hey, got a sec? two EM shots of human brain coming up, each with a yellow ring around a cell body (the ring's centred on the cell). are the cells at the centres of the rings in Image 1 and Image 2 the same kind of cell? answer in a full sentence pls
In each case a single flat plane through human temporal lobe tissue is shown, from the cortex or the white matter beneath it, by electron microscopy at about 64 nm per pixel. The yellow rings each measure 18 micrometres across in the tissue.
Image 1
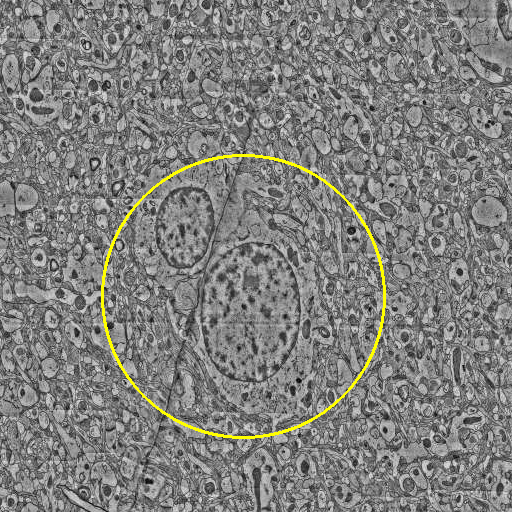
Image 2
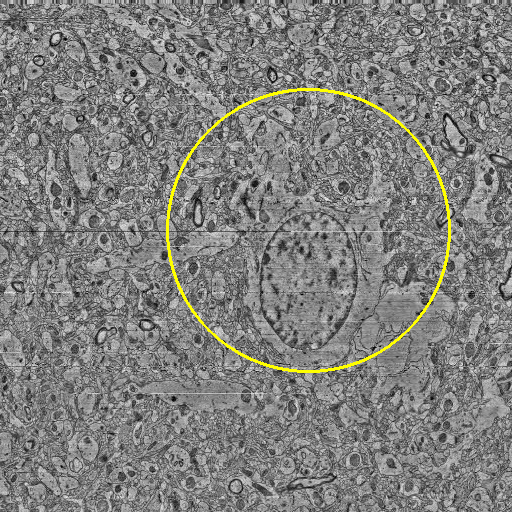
Yes, both are the same kind of cell.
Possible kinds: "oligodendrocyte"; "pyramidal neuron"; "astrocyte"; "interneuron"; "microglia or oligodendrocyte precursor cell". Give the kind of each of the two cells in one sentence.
Each cell, in the first picture and the second, is an astrocyte.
